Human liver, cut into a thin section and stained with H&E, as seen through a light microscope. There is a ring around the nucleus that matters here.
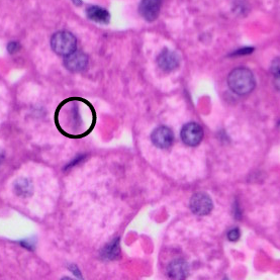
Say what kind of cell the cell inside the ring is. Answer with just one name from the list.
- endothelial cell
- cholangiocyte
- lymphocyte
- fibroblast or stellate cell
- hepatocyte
endothelial cell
